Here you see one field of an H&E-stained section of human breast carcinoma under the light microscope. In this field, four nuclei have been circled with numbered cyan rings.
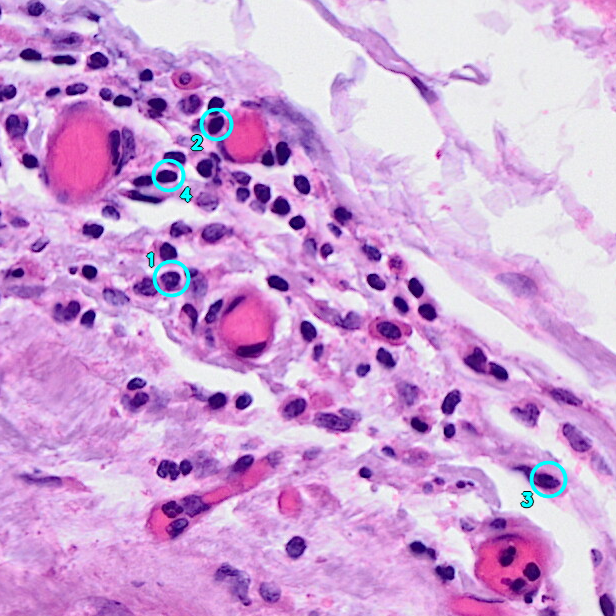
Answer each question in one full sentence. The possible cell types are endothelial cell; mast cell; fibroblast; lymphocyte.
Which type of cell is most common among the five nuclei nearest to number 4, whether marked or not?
Lymphocytes make up most of the five nuclei closest to number 4.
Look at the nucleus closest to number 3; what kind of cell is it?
The nucleus nearest to number 3 is that of a fibroblast.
